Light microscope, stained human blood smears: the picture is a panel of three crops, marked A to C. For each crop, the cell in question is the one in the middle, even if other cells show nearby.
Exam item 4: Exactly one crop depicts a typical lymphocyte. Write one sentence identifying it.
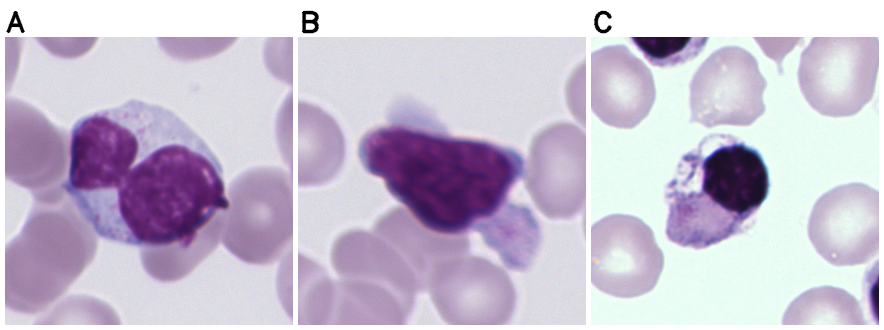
Crop B is where a typical lymphocyte is shown.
